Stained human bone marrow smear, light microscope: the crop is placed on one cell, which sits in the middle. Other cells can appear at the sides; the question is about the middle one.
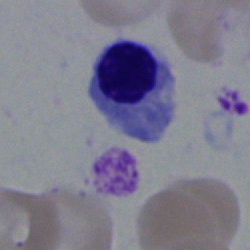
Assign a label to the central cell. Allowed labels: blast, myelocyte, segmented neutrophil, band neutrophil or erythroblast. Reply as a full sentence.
In short, the cell at the center is an erythroblast.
